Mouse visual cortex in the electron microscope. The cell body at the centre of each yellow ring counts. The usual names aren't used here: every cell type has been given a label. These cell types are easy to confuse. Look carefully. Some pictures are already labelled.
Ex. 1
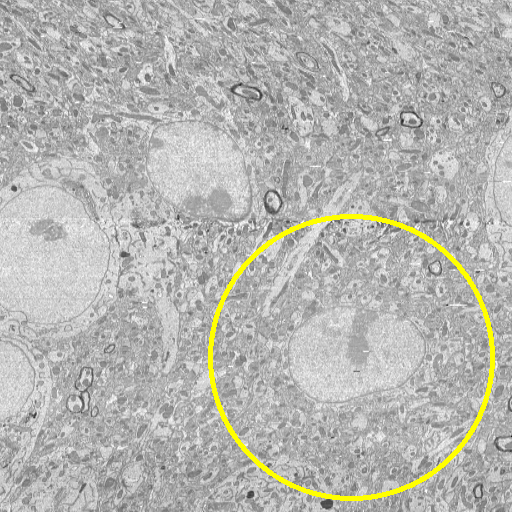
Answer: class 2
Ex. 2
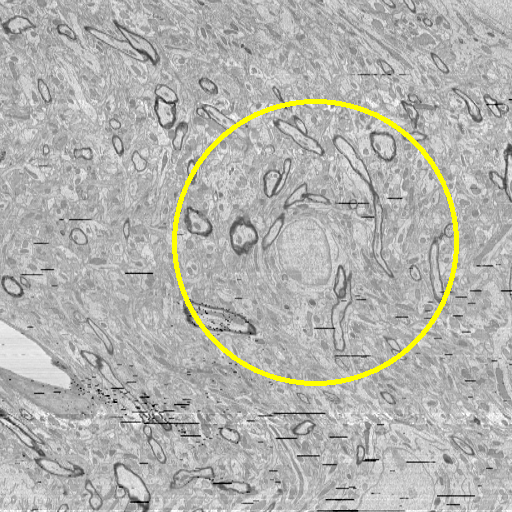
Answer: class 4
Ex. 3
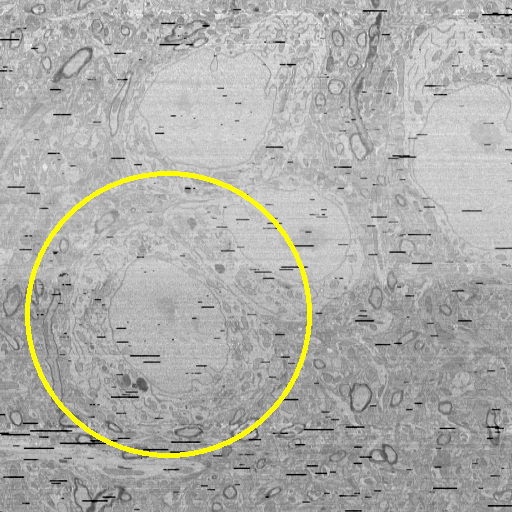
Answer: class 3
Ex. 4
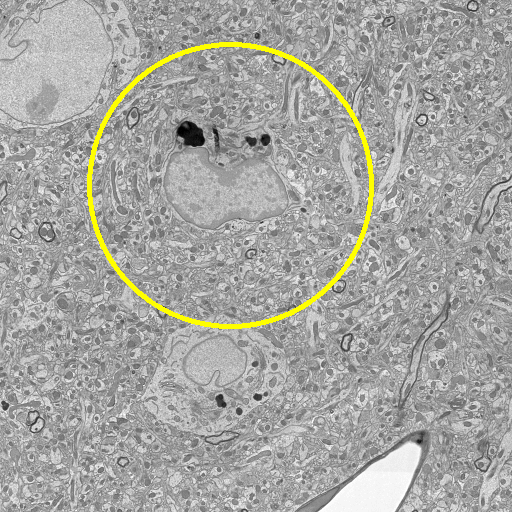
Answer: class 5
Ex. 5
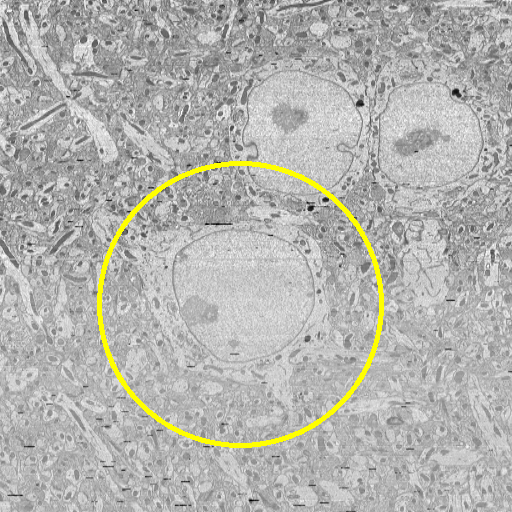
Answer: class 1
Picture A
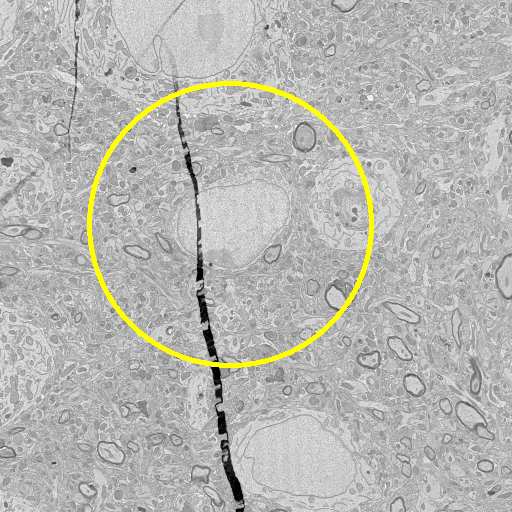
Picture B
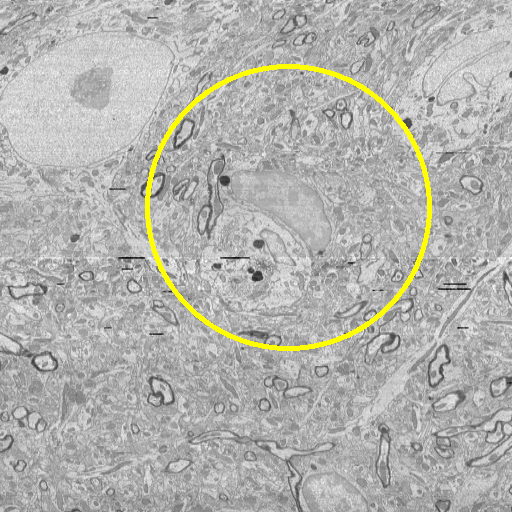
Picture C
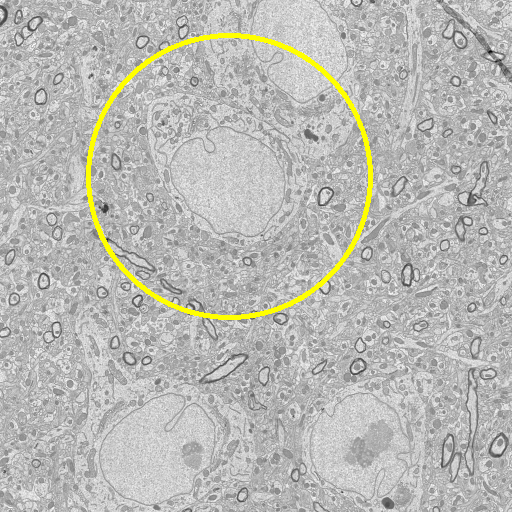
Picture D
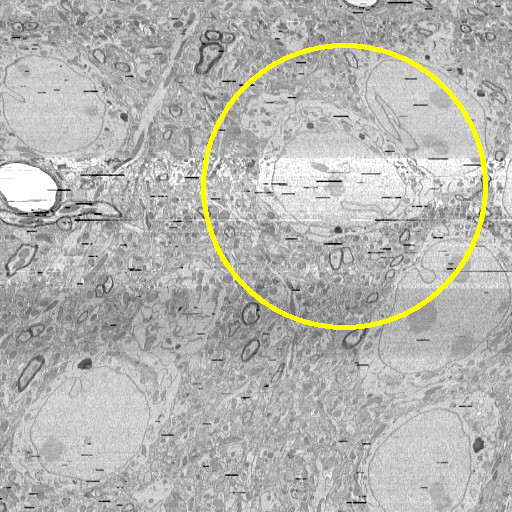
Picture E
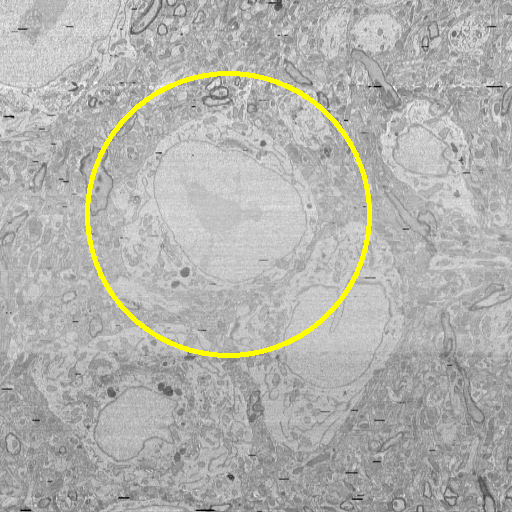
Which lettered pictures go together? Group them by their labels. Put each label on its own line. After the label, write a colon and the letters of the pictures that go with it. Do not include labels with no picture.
class 2: A
class 3: C, D, E
class 5: B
